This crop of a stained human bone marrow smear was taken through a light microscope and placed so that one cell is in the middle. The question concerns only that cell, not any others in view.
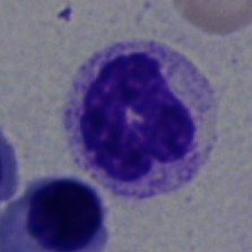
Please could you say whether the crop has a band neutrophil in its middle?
yes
